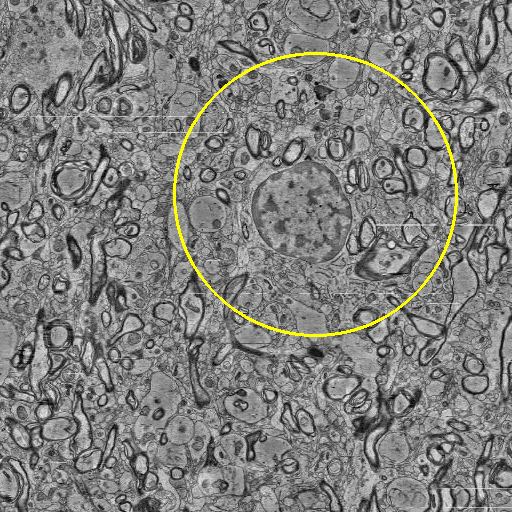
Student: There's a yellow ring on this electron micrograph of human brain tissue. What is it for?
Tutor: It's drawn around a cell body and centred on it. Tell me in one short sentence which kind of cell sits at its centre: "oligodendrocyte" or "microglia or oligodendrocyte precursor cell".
The cell at the centre of the ring is a microglial cell or oligodendrocyte precursor cell.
